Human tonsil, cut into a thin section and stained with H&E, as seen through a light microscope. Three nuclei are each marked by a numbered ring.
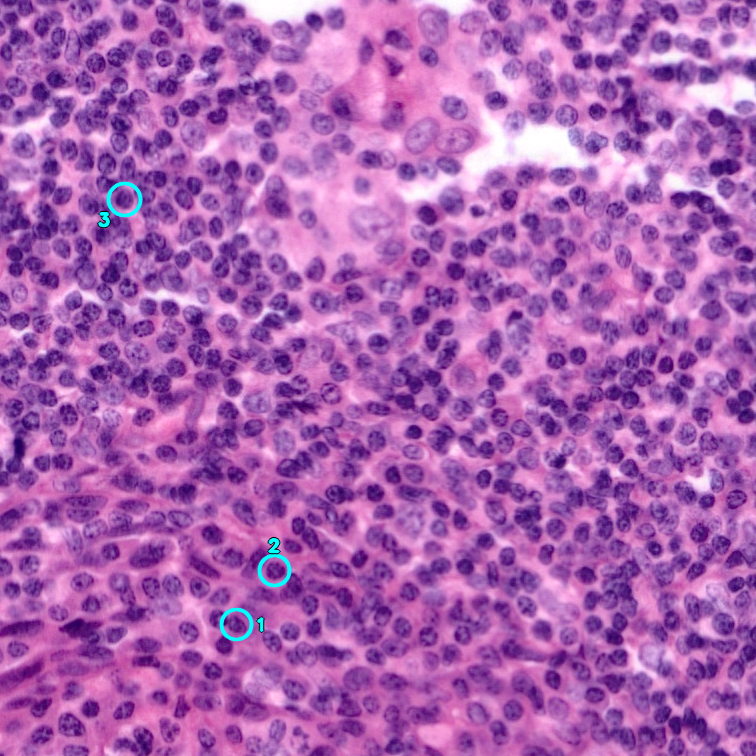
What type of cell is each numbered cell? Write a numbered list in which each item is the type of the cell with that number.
1. plasma cell
2. plasma cell
3. small lymphocyte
